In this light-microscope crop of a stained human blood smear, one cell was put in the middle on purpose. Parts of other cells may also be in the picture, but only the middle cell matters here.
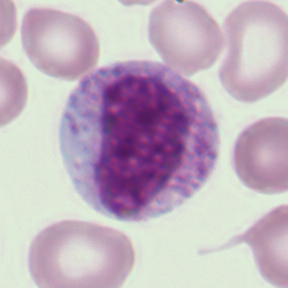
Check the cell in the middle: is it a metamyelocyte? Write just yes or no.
yes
